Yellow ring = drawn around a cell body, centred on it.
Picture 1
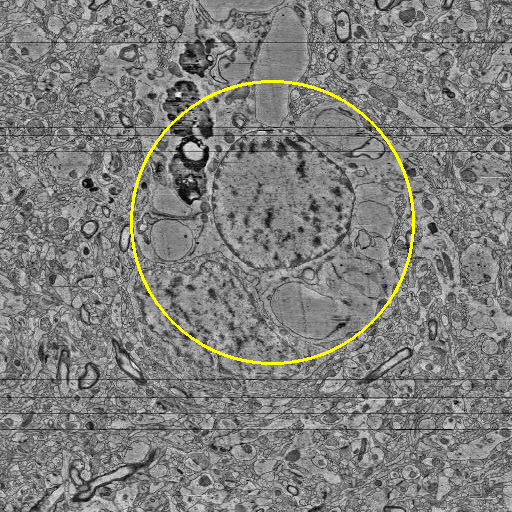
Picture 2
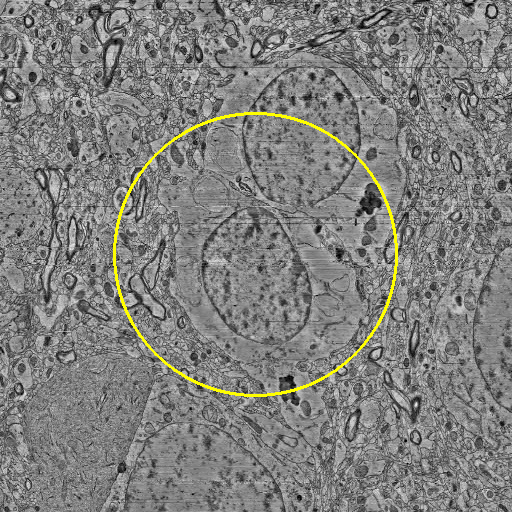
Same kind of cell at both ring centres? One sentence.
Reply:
Yes, they are the same kind of cell.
